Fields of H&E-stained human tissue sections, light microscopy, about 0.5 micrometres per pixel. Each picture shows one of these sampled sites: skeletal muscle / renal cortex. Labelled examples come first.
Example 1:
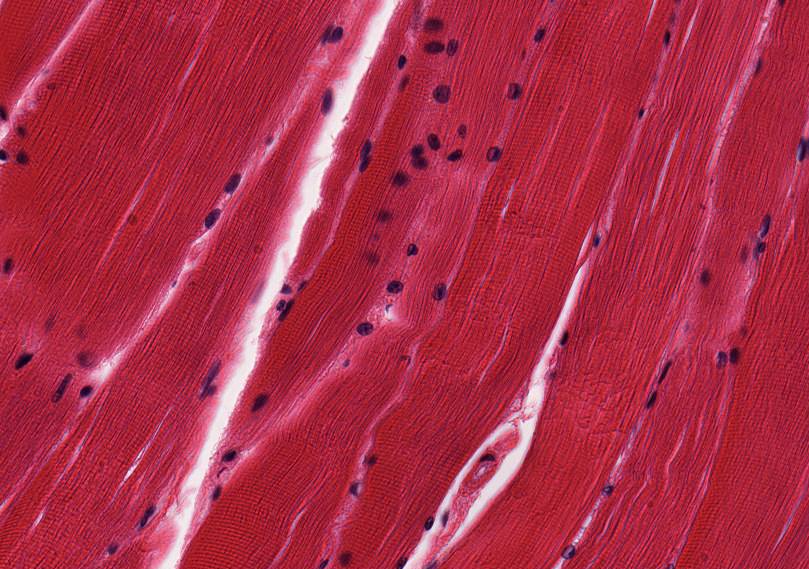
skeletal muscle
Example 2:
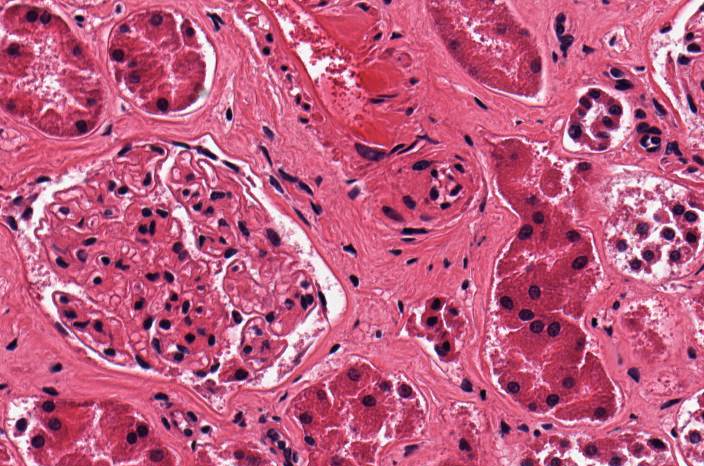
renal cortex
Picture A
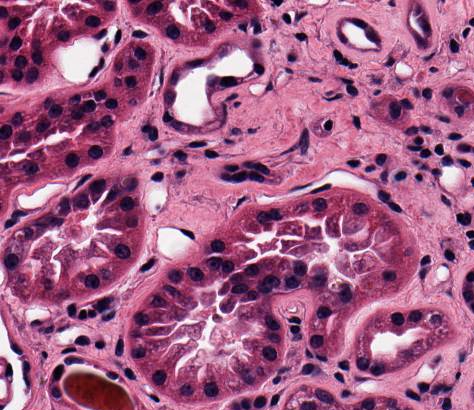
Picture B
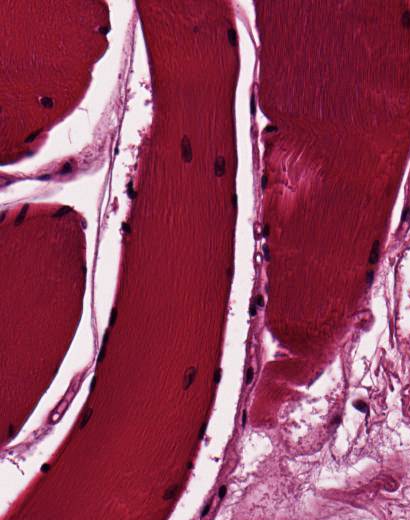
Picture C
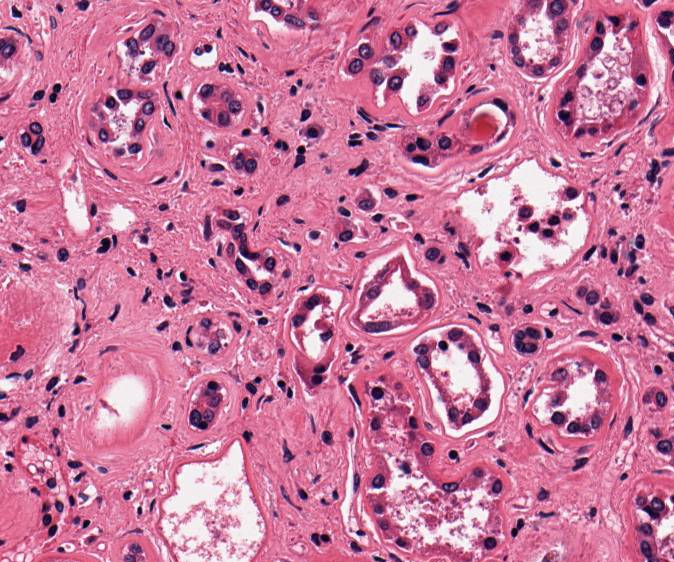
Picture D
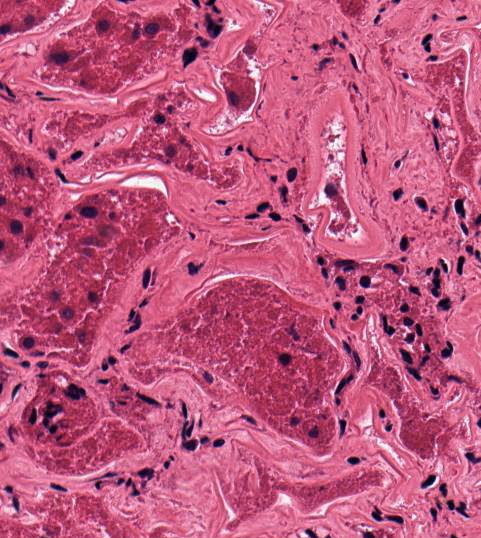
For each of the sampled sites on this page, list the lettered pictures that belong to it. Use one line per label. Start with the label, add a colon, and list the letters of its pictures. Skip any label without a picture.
skeletal muscle: B
renal cortex: A, C, D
